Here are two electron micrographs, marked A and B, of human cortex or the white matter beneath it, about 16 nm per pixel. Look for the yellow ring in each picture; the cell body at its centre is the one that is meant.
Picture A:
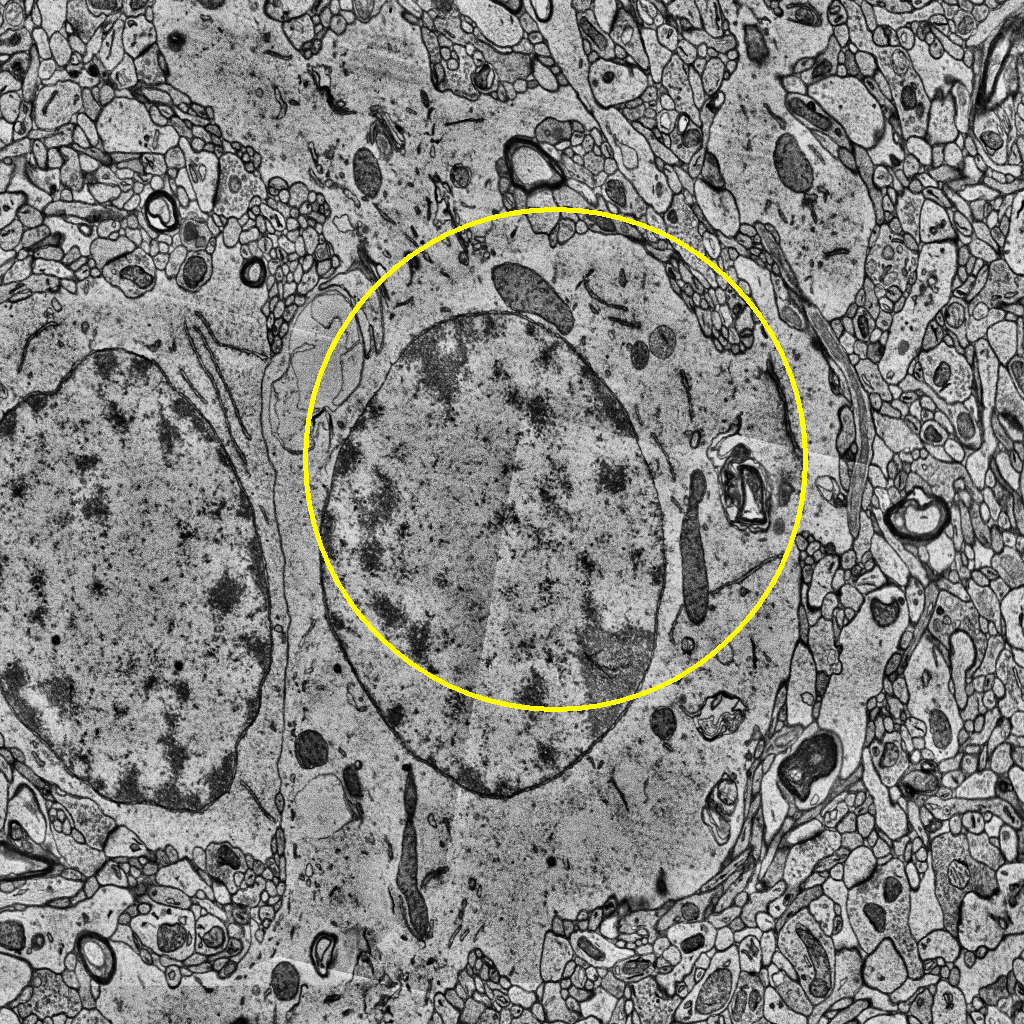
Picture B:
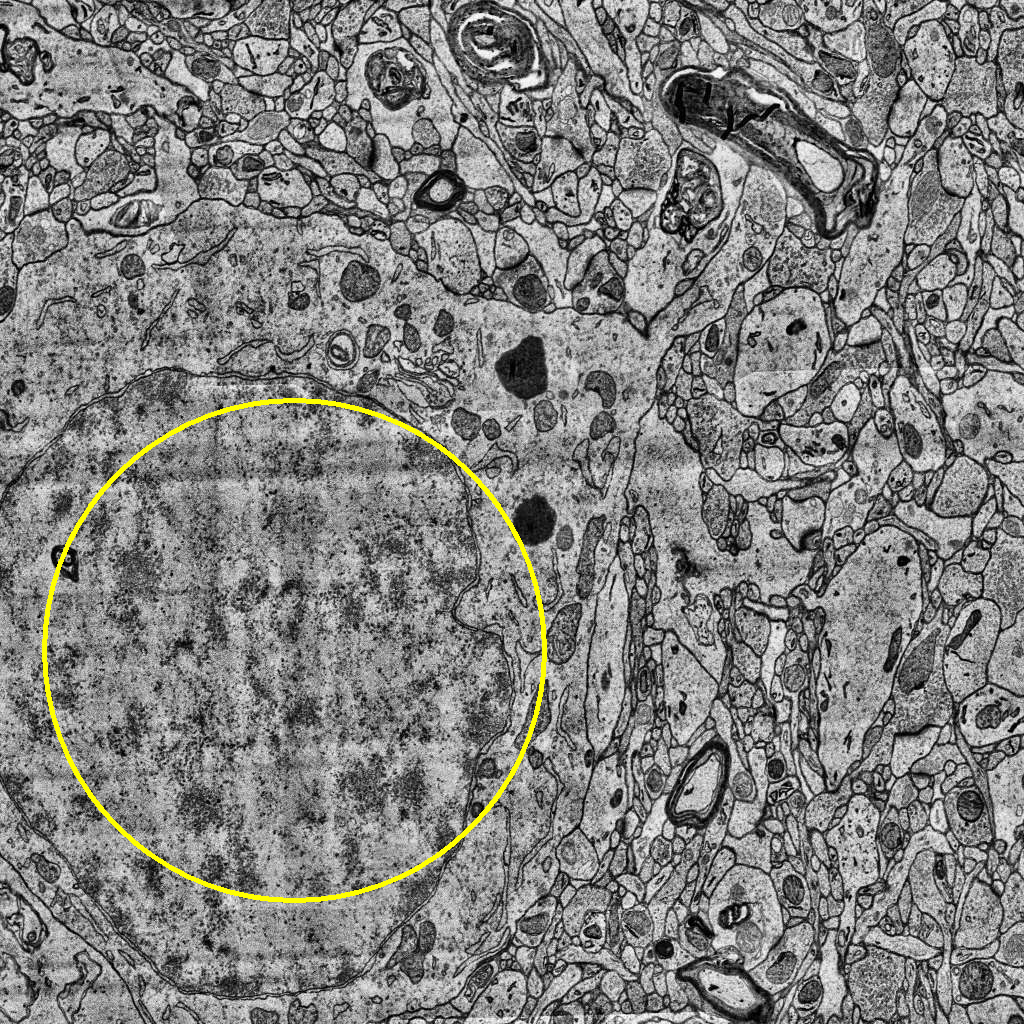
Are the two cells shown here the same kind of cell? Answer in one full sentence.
No, picture A shows an astrocyte and picture B shows an interneuron.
